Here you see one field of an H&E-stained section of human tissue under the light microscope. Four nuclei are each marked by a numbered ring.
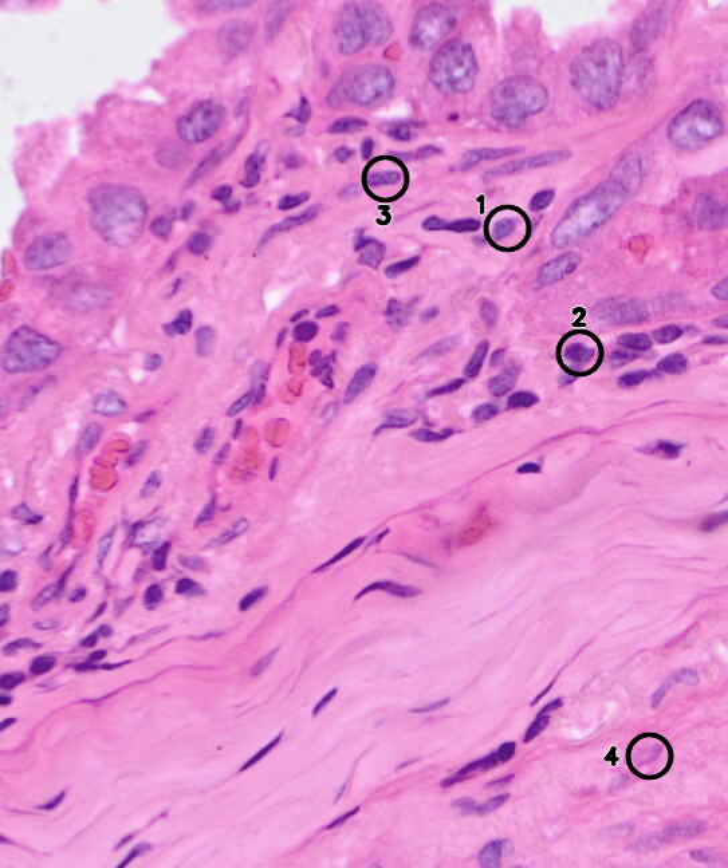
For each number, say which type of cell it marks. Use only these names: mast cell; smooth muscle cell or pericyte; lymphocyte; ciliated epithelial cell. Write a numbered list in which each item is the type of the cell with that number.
1. lymphocyte
2. lymphocyte
3. lymphocyte
4. smooth muscle cell or pericyte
